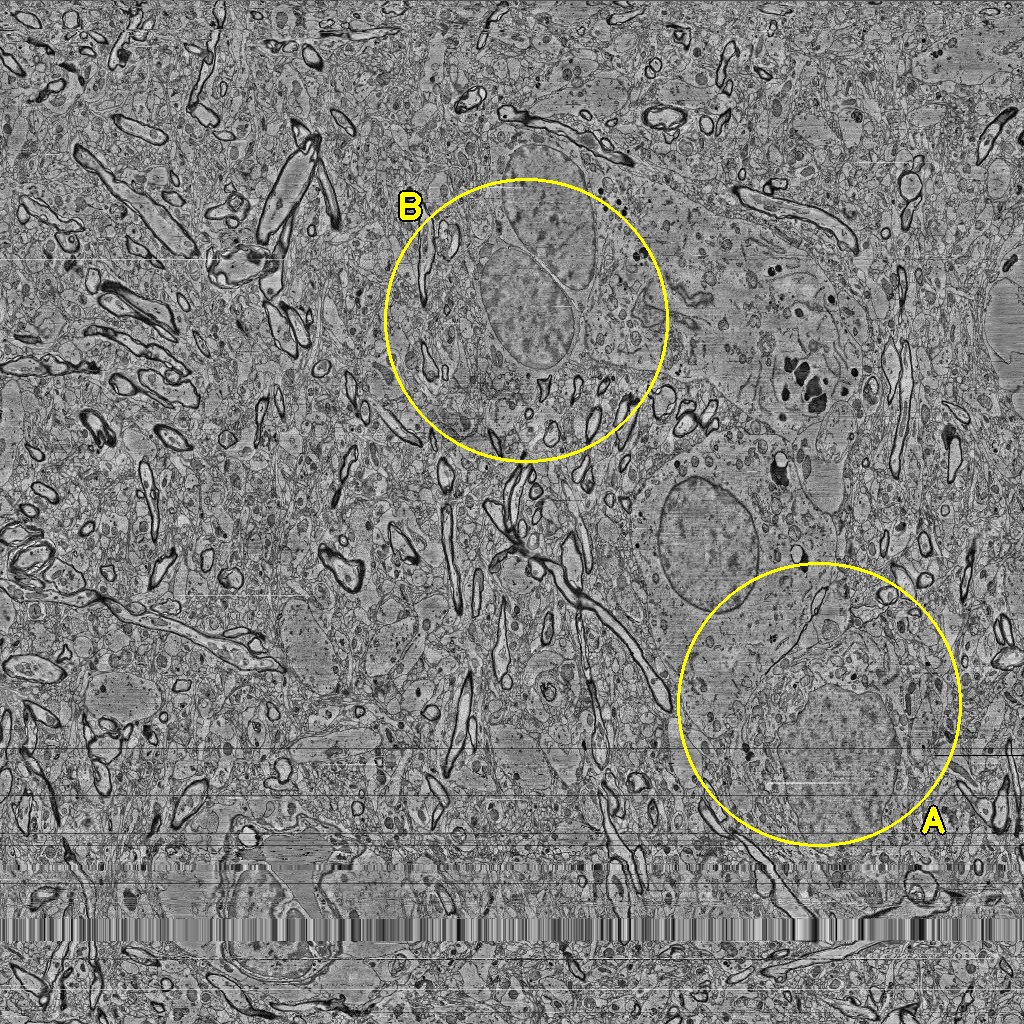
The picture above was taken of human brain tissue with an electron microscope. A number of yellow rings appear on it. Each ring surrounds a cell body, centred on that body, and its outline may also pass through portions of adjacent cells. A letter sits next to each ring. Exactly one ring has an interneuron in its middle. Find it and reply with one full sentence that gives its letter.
Letter A labels the ring whose centre falls on a cell of that kind.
